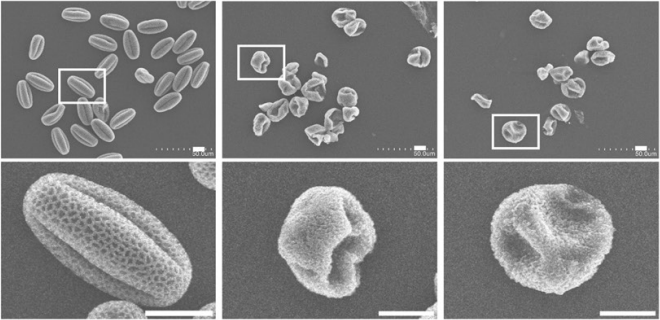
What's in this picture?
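Scanning electron micrographs of pollen grains, with overviews above and single grains enlarged below. In the left column the grains are regular elongated ellipsoids with longitudinal furrows and a fine net-like surface sculpturing.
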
